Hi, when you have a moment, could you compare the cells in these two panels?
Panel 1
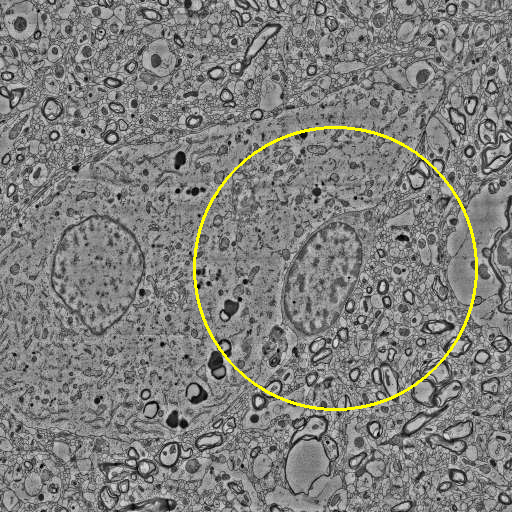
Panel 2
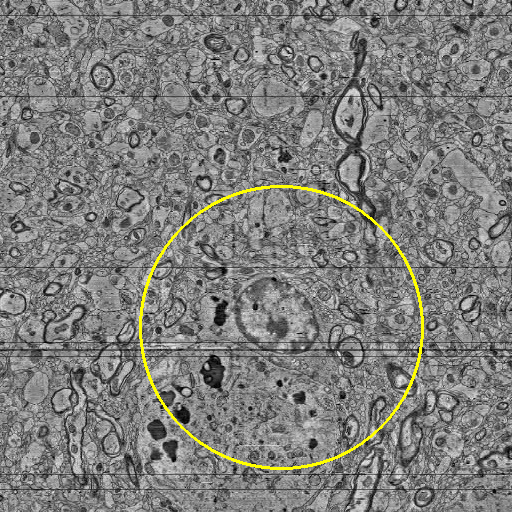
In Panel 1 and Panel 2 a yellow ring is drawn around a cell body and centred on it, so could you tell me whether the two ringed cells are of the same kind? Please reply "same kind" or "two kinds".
same kind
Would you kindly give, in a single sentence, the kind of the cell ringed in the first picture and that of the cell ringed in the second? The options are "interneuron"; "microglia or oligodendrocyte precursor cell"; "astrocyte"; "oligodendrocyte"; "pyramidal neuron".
In both pictures the ring is centred on an oligodendrocyte.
